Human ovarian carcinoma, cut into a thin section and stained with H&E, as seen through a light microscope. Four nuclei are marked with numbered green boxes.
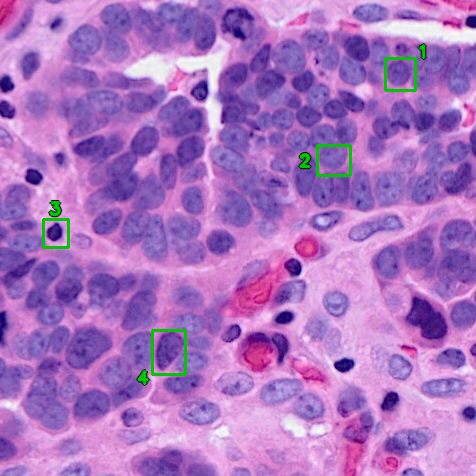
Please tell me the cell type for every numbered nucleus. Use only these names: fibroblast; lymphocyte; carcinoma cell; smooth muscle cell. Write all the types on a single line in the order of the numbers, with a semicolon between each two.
carcinoma cell; carcinoma cell; lymphocyte; carcinoma cell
